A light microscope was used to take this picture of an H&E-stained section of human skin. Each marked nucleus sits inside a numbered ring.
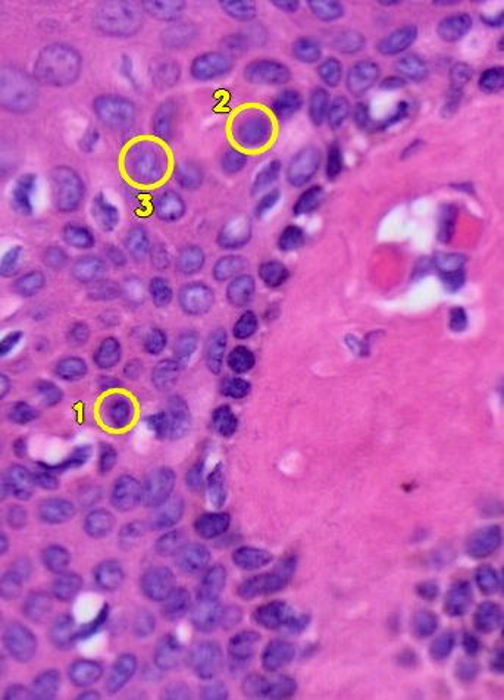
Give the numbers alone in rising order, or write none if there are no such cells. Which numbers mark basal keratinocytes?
1, 2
